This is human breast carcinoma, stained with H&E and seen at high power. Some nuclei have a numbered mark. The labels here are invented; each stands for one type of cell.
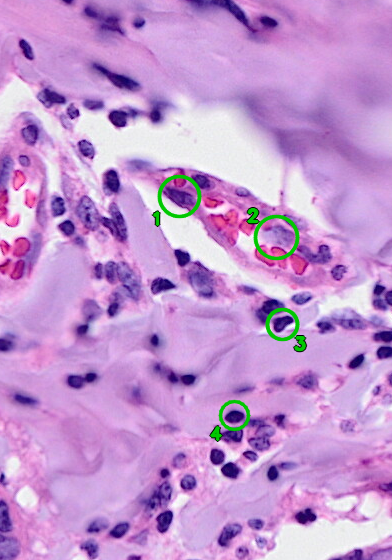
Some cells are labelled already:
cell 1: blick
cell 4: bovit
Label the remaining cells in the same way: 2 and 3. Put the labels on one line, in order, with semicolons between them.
blick; bovit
